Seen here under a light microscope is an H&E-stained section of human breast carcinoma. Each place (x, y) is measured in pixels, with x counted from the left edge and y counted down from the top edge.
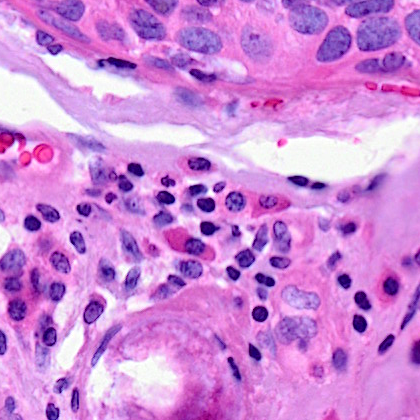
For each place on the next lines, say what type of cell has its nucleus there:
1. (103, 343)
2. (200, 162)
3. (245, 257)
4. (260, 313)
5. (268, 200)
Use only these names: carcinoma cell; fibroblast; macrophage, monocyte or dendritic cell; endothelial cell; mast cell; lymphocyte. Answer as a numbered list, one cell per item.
1. fibroblast
2. mast cell
3. lymphocyte
4. lymphocyte
5. mast cell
